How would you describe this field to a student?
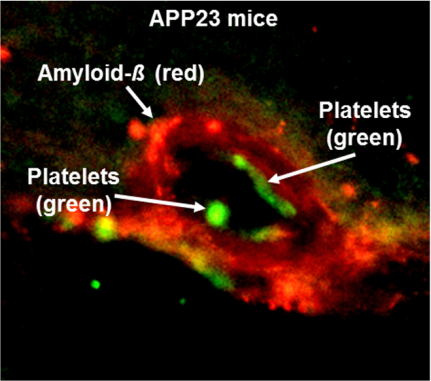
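The lumen is a dark, open, oval space. Small bright green bodies lie inside the lumen against the inner surface of the red ring, one round and one elongated along the wall. A few further small green dots are scattered at the outer edge of the red deposit.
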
